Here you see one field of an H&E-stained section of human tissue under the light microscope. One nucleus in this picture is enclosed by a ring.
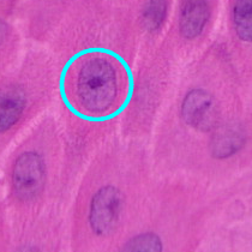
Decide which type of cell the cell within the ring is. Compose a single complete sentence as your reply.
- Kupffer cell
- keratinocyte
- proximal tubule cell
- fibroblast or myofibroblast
The classification of the cell within the ring is as a keratinocyte.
